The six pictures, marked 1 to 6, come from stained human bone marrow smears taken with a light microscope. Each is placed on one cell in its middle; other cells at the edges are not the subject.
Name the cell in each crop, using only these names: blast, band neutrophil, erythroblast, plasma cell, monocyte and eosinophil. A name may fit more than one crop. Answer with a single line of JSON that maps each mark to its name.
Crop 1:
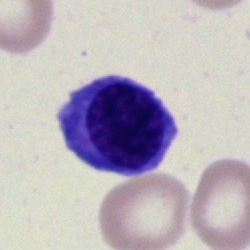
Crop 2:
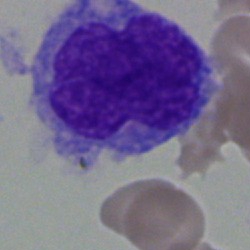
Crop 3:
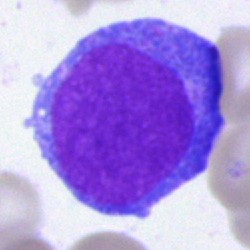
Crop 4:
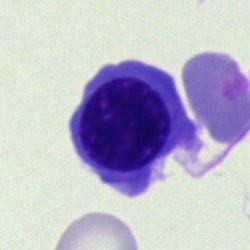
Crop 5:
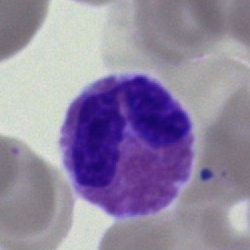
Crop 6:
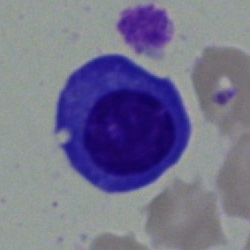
{"1": "erythroblast", "2": "monocyte", "3": "blast", "4": "erythroblast", "5": "eosinophil", "6": "plasma cell"}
